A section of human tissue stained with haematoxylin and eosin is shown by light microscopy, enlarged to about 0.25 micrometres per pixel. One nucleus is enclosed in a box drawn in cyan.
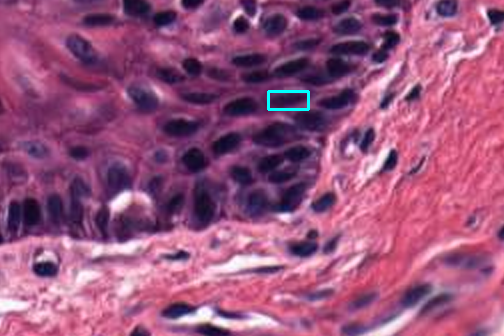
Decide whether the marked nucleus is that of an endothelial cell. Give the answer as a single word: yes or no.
no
